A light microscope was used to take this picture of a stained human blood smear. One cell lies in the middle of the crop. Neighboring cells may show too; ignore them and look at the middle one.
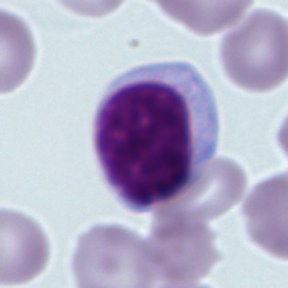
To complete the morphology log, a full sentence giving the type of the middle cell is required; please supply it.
The cell shown in the center of this light-microscope crop is a large granular lymphocyte.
